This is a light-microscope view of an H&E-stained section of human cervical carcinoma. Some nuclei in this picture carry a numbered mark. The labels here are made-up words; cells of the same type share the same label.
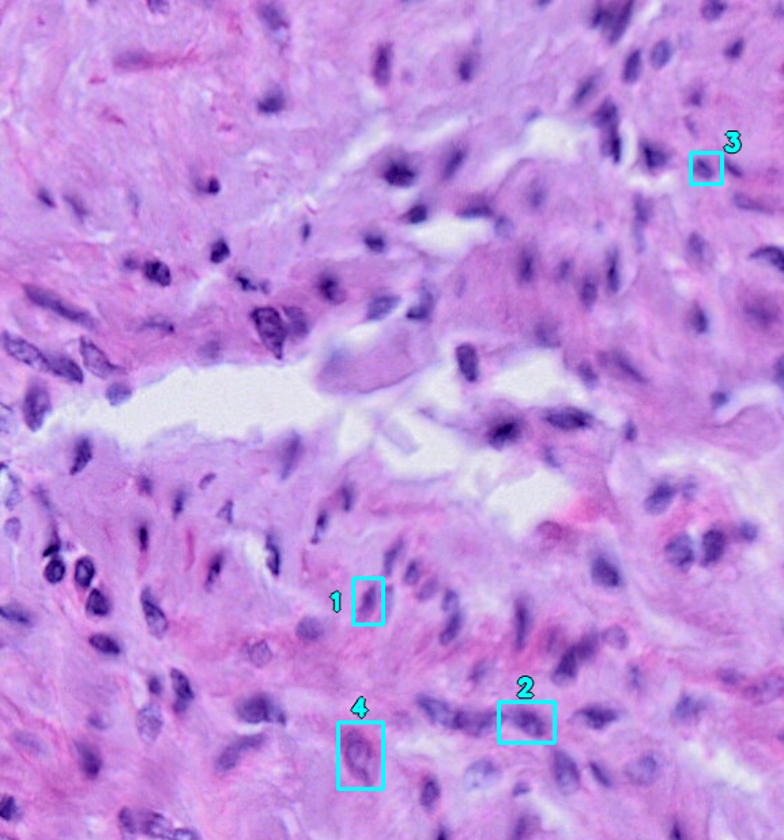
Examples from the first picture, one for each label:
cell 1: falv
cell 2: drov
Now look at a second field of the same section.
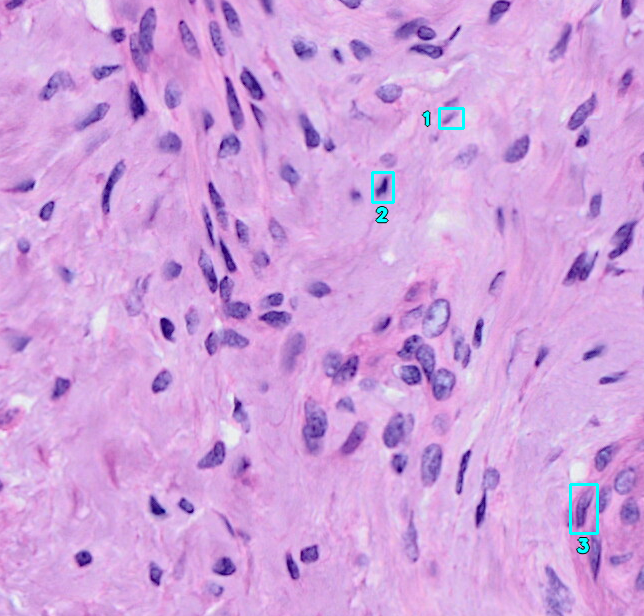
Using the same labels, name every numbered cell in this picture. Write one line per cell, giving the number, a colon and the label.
1: drov
2: drov
3: falv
